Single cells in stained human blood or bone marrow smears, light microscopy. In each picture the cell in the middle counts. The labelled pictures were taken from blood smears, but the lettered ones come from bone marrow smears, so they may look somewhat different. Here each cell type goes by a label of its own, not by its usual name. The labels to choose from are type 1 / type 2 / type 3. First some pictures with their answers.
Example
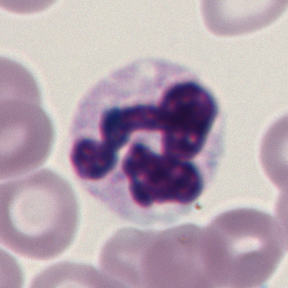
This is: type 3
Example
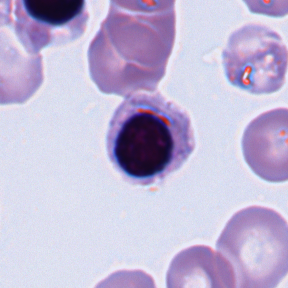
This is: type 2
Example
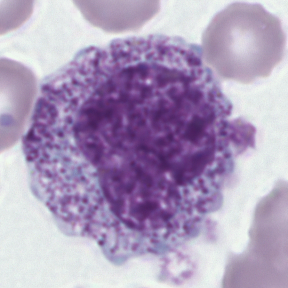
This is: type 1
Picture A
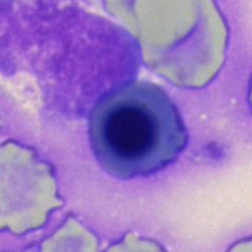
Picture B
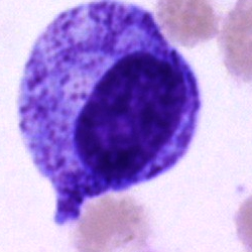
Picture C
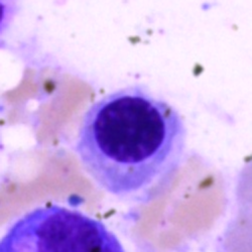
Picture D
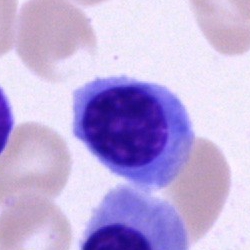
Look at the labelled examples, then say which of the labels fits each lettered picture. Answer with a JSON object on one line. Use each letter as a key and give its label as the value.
{"A": "type 2", "B": "type 1", "C": "type 2", "D": "type 2"}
